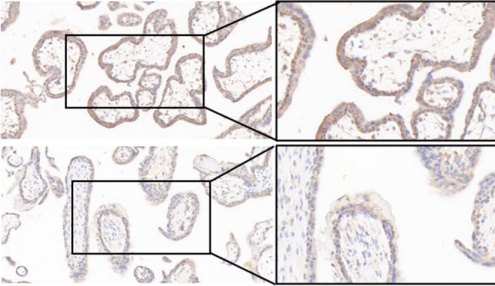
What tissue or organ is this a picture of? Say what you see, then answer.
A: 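Villus. Rounded and branching tissue profiles float separately in empty space. Each profile has a thin outer epithelial covering around a loose stromal core with scattered nuclei.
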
